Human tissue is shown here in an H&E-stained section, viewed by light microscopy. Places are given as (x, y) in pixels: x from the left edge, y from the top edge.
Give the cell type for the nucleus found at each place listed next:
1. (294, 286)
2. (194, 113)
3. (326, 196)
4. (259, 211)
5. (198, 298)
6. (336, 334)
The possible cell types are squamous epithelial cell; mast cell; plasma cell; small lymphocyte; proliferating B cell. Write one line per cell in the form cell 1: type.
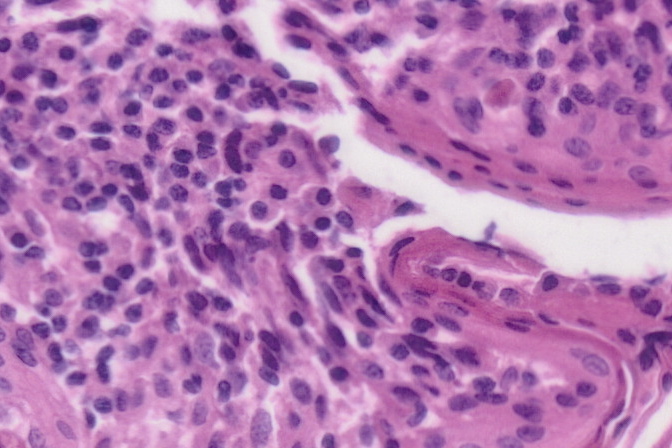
cell 1: squamous epithelial cell
cell 2: plasma cell
cell 3: plasma cell
cell 4: plasma cell
cell 5: squamous epithelial cell
cell 6: squamous epithelial cell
